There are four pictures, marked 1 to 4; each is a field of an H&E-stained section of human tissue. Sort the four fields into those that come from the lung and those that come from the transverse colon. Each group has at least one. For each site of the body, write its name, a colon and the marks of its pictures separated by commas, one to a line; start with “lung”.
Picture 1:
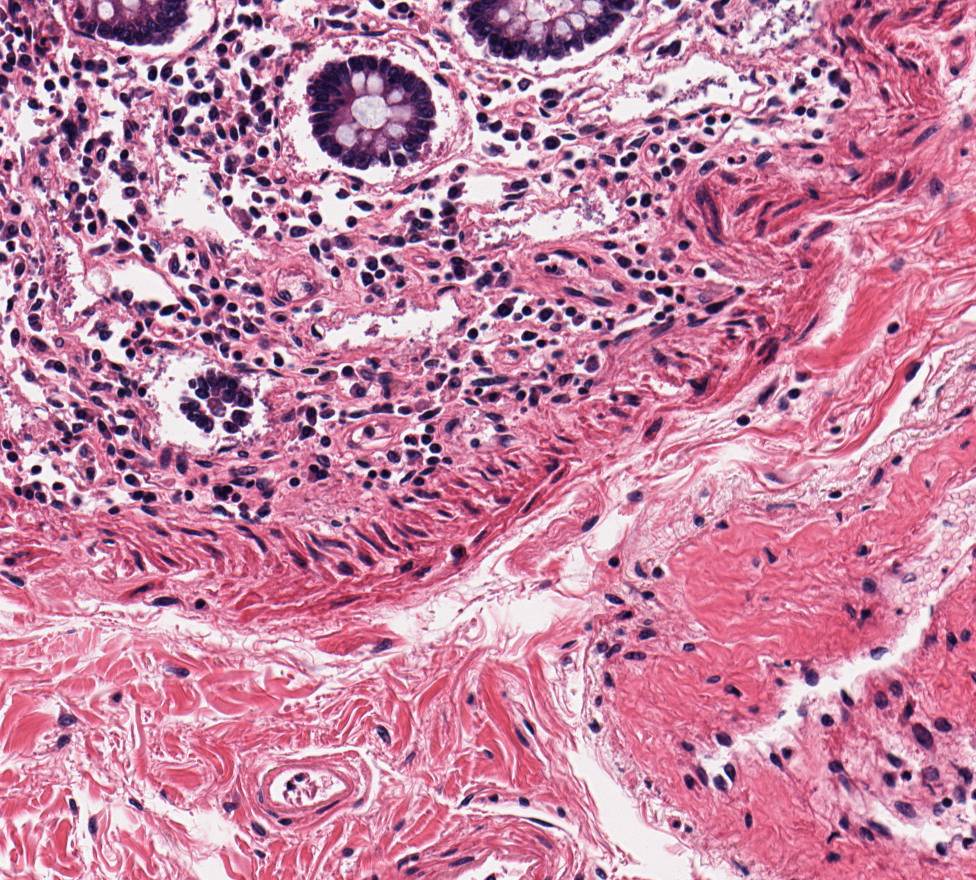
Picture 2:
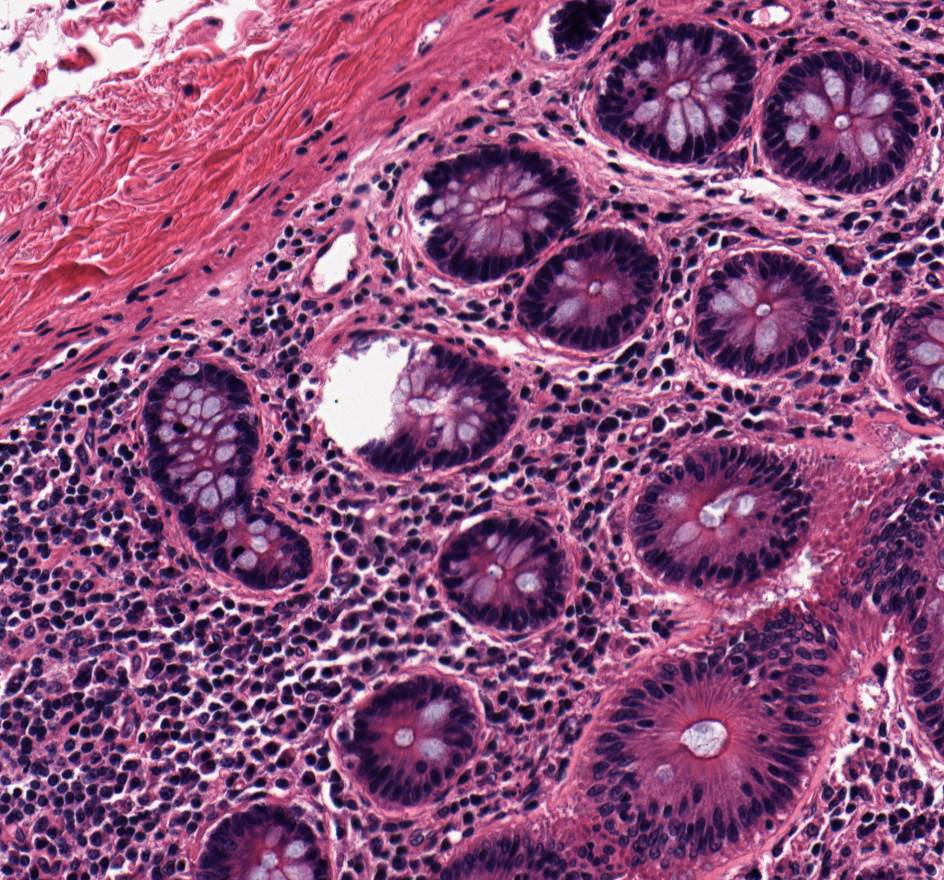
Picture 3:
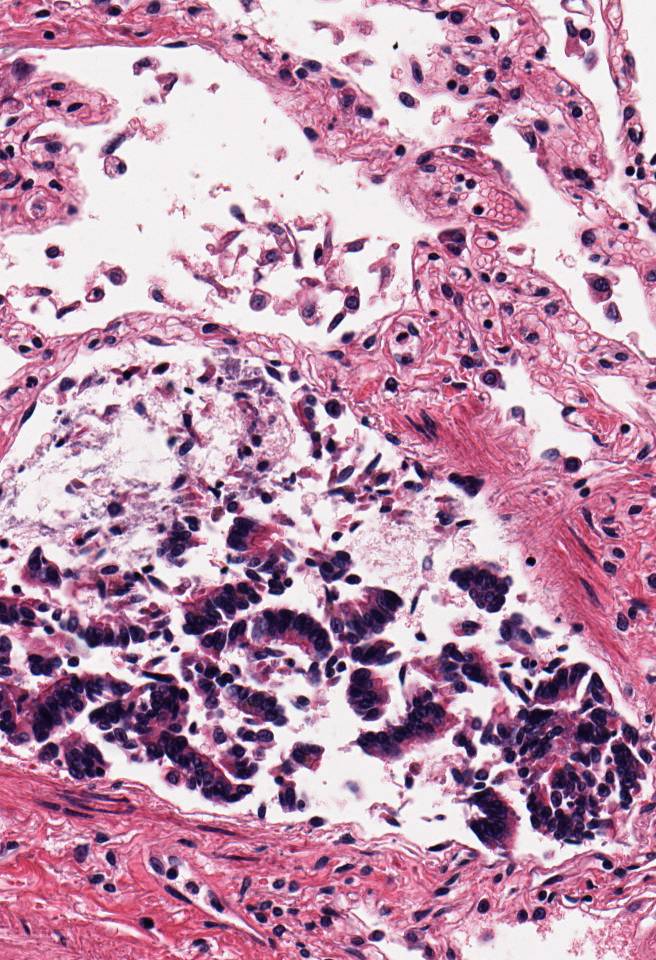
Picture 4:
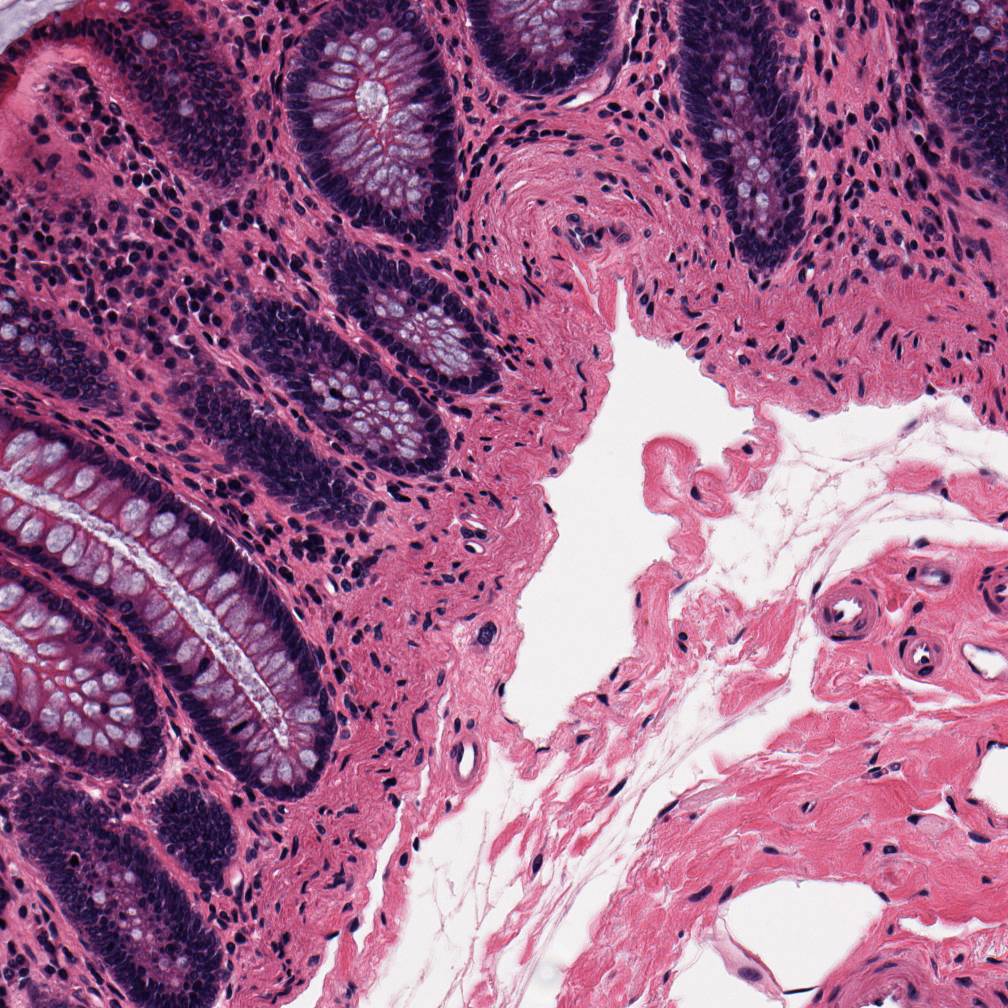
lung: 3
transverse colon: 1, 2, 4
